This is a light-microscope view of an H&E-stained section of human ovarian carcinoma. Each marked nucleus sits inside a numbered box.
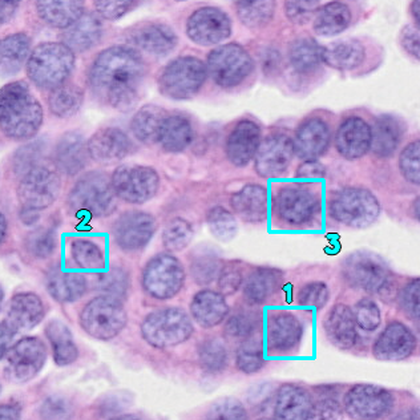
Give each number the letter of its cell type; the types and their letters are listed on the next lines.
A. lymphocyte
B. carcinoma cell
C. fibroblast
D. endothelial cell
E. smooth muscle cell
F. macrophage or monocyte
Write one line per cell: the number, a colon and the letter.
1: B
2: F
3: B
